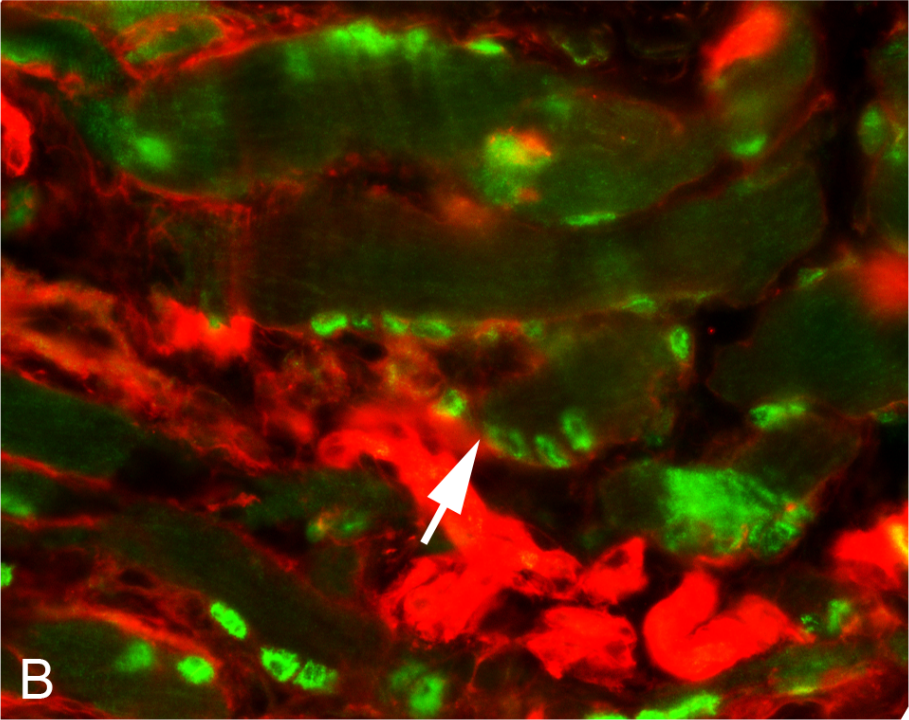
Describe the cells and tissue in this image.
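Longitudinally and obliquely cut skeletal muscle fibers with visible striations are bordered by red outlines, with large bright red deposits filling spaces between fibers. Numerous small oval green nuclei cluster along the fiber margins and within the fibers, and some fibers show larger patchy green areas. The arrow points to a group of green nuclei at the edge of a fiber next to an intensely red region.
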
